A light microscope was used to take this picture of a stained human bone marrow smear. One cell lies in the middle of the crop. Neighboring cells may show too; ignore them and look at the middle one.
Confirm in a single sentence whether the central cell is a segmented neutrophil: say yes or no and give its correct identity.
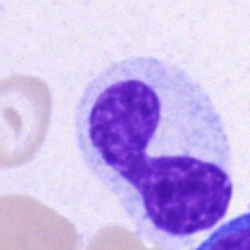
No, a band neutrophil rather than a segmented neutrophil is the cell at the centre of the crop.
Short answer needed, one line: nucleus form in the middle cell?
Look at the nucleus and you will find it divided into two or more lobes.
